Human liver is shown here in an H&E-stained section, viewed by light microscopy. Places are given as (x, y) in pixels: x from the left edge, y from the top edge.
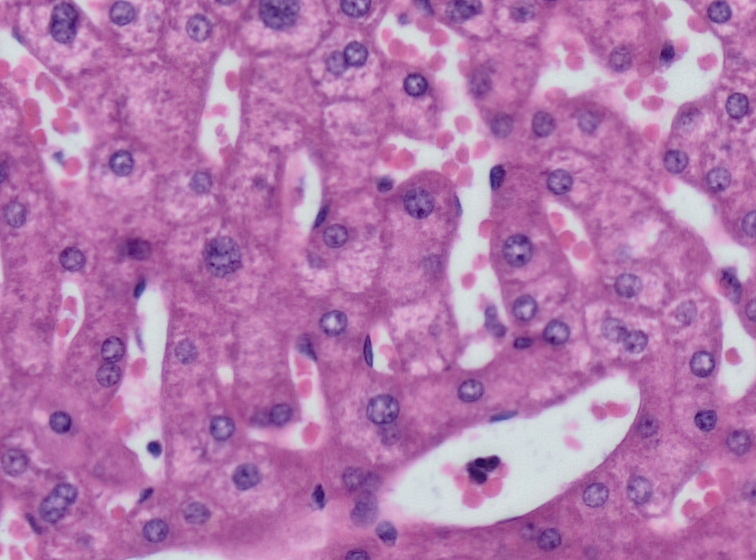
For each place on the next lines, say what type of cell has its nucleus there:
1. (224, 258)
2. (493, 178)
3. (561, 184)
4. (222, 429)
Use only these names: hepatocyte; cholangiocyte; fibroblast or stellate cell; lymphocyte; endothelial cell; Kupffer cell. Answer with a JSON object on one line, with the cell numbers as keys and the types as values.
{"1": "hepatocyte", "2": "fibroblast or stellate cell", "3": "hepatocyte", "4": "hepatocyte"}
